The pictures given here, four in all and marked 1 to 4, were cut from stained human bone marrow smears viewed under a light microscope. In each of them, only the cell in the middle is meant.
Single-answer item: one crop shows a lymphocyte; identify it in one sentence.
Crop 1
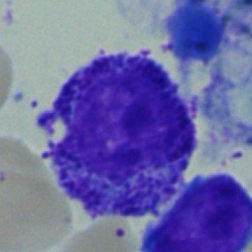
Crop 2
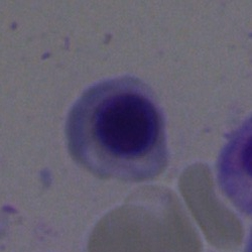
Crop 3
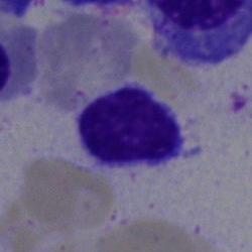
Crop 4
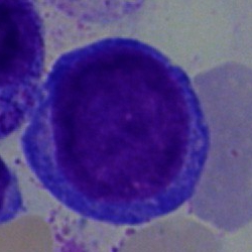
Selected crop: 3, which is the one that shows a lymphocyte.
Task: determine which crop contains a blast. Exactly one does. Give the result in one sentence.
Crop 4 is the crop containing a blast.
